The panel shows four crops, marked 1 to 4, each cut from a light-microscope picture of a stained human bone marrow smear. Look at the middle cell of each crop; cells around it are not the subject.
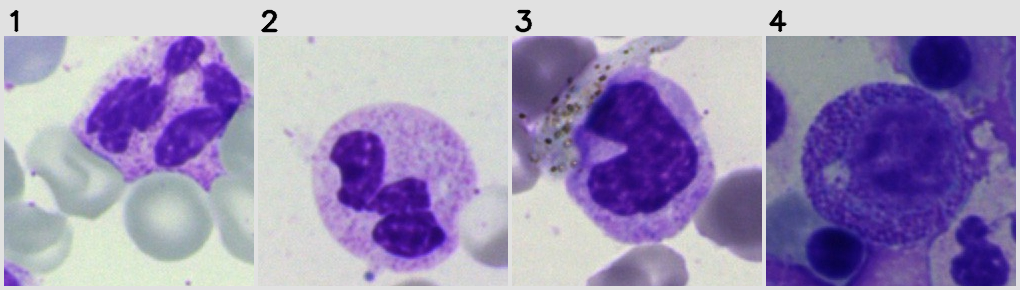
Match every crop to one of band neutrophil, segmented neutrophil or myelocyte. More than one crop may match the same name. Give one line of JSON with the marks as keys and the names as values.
{"1": "segmented neutrophil", "2": "segmented neutrophil", "3": "band neutrophil", "4": "myelocyte"}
